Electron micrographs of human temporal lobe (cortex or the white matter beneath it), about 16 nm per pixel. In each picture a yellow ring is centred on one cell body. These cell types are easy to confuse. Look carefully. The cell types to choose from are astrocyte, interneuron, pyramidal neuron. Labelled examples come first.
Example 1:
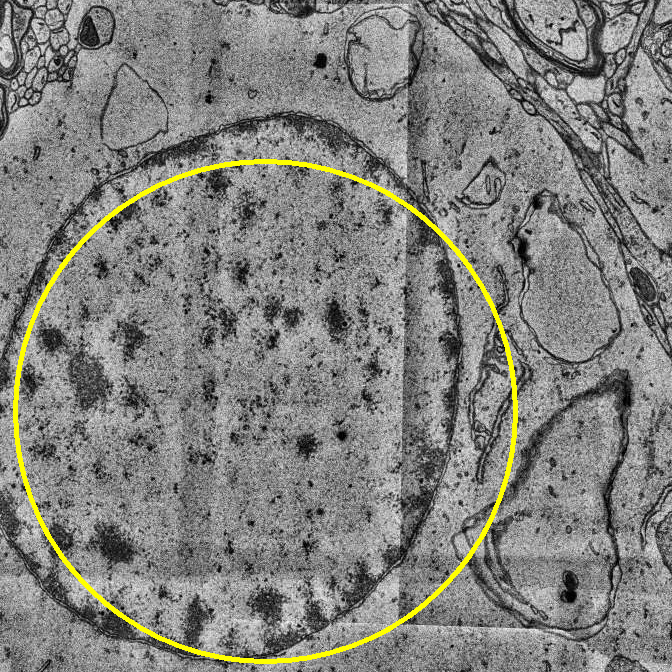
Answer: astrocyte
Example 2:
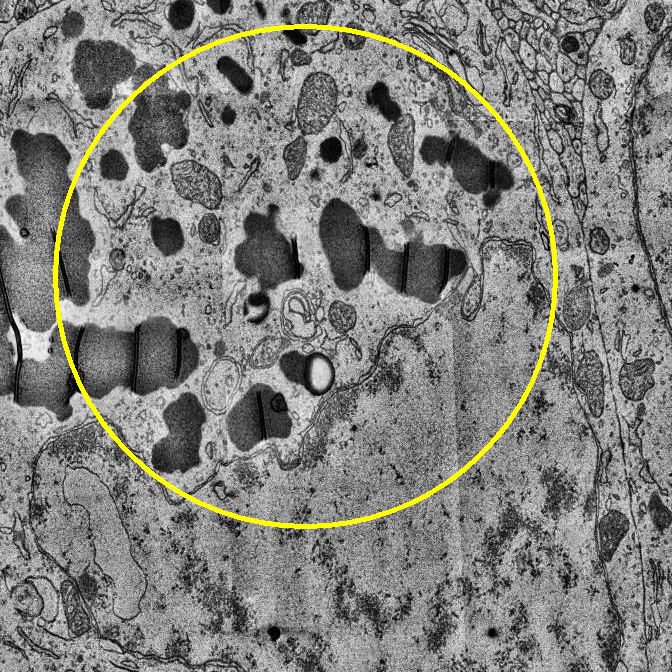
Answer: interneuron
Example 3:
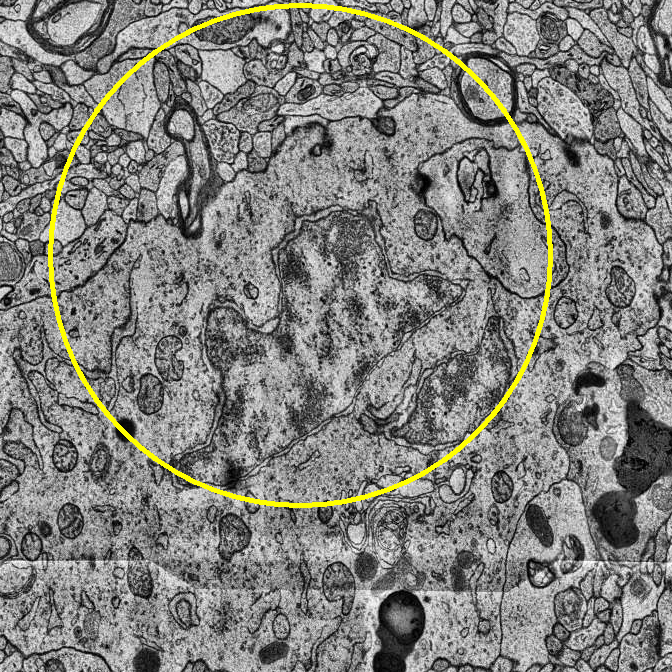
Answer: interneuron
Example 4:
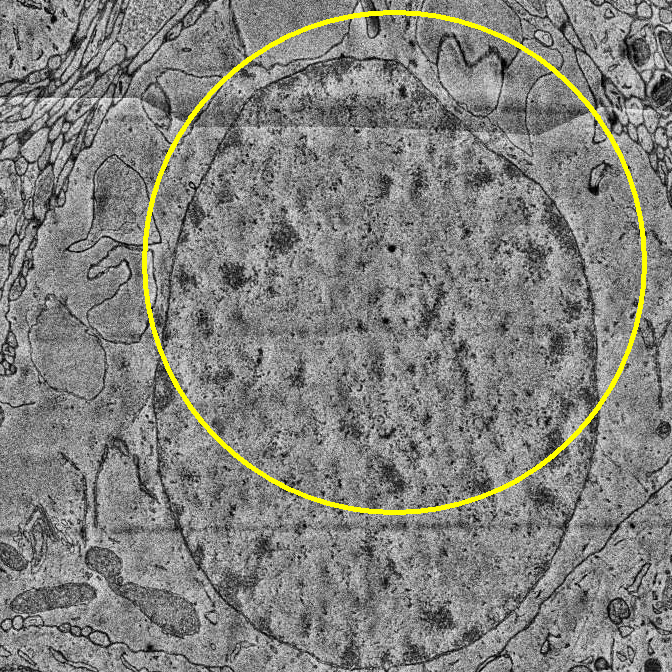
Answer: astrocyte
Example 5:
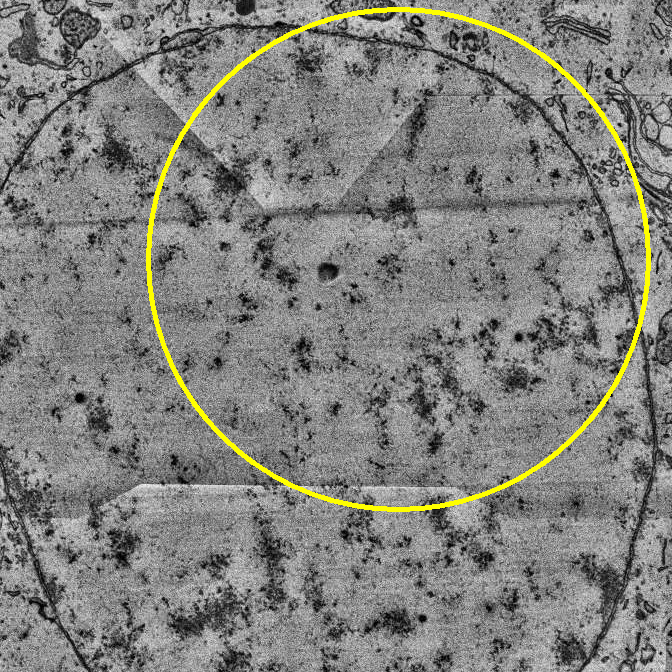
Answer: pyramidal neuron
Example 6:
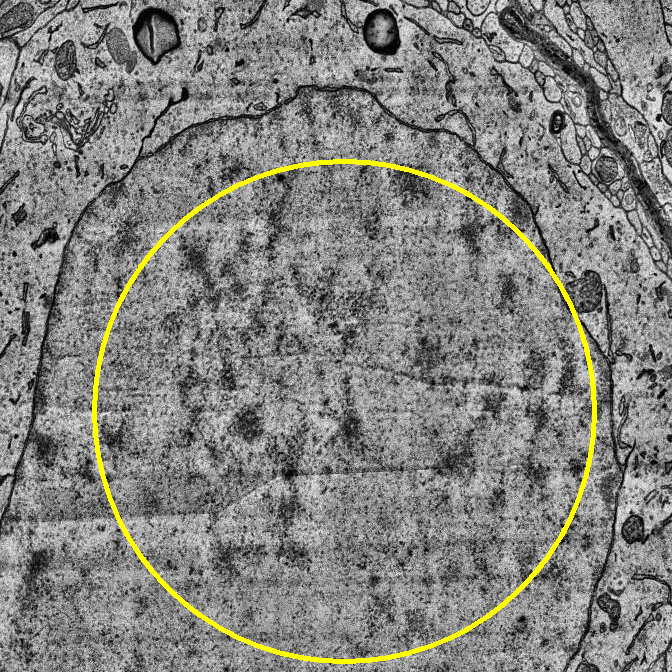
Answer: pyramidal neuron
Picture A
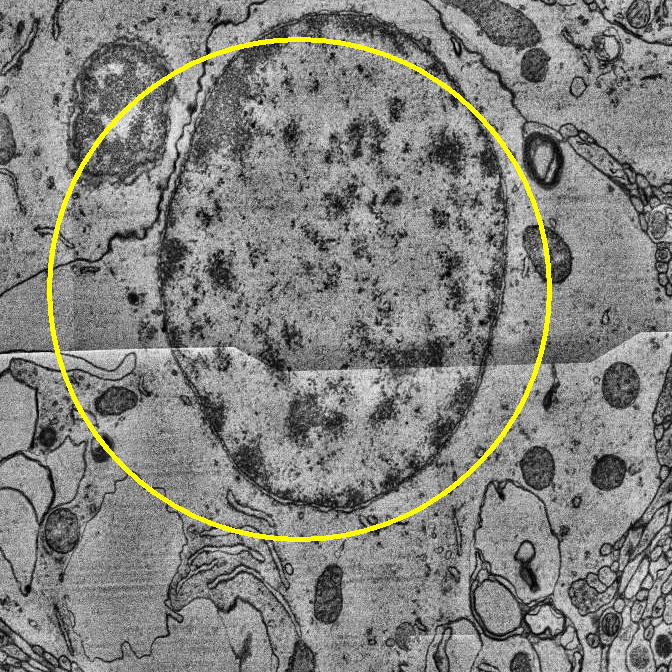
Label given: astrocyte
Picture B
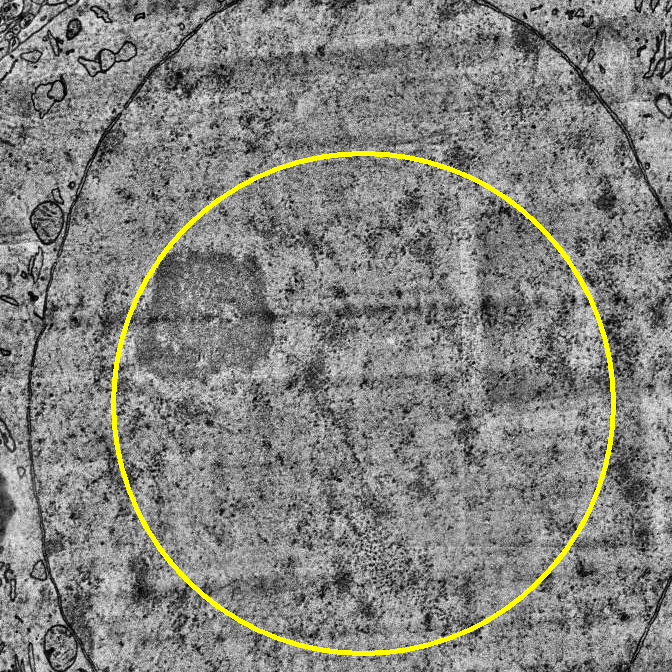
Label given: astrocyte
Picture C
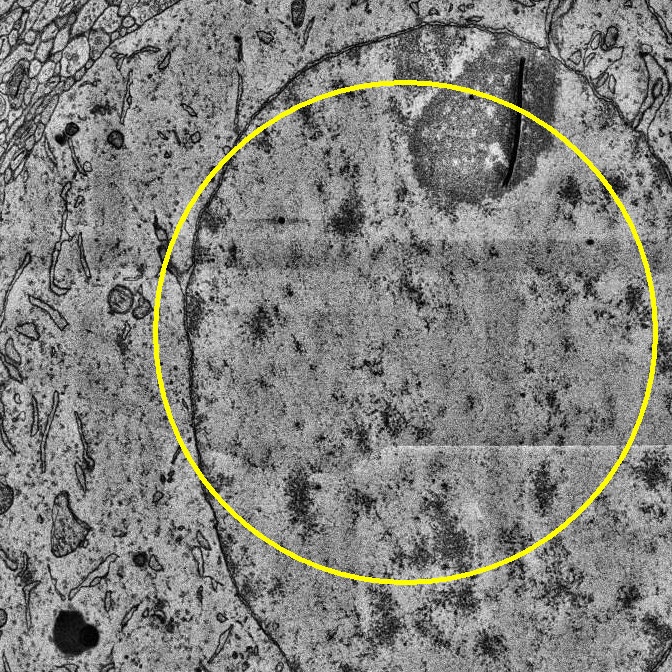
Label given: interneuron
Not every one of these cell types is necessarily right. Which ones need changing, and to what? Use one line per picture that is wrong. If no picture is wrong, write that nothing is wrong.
Wrong: B (astrocyte); correct: pyramidal neuron
Wrong: C (interneuron); correct: pyramidal neuron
